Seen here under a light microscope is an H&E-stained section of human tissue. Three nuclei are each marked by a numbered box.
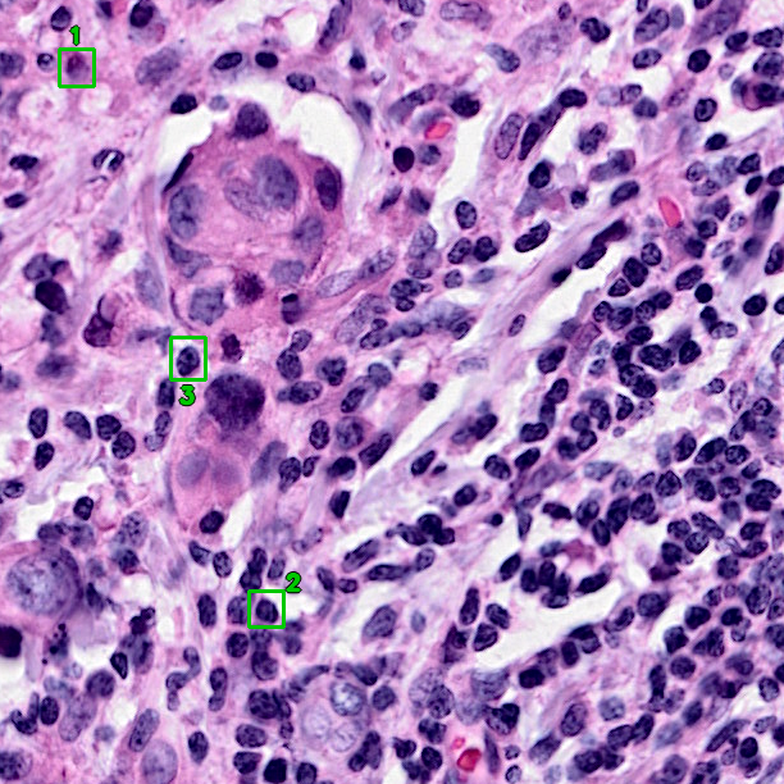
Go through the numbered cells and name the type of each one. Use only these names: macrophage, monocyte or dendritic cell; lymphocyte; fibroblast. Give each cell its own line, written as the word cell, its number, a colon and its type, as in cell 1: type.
cell 1: macrophage, monocyte or dendritic cell
cell 2: lymphocyte
cell 3: lymphocyte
